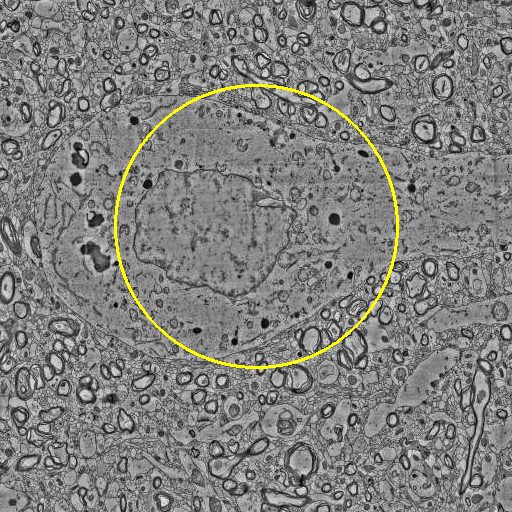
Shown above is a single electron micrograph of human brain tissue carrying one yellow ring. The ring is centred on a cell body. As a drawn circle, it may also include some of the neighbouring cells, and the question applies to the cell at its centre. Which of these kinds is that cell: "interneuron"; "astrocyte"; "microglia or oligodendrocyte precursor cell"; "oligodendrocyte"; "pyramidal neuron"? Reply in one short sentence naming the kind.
The cell marked by the ring is a pyramidal neuron.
